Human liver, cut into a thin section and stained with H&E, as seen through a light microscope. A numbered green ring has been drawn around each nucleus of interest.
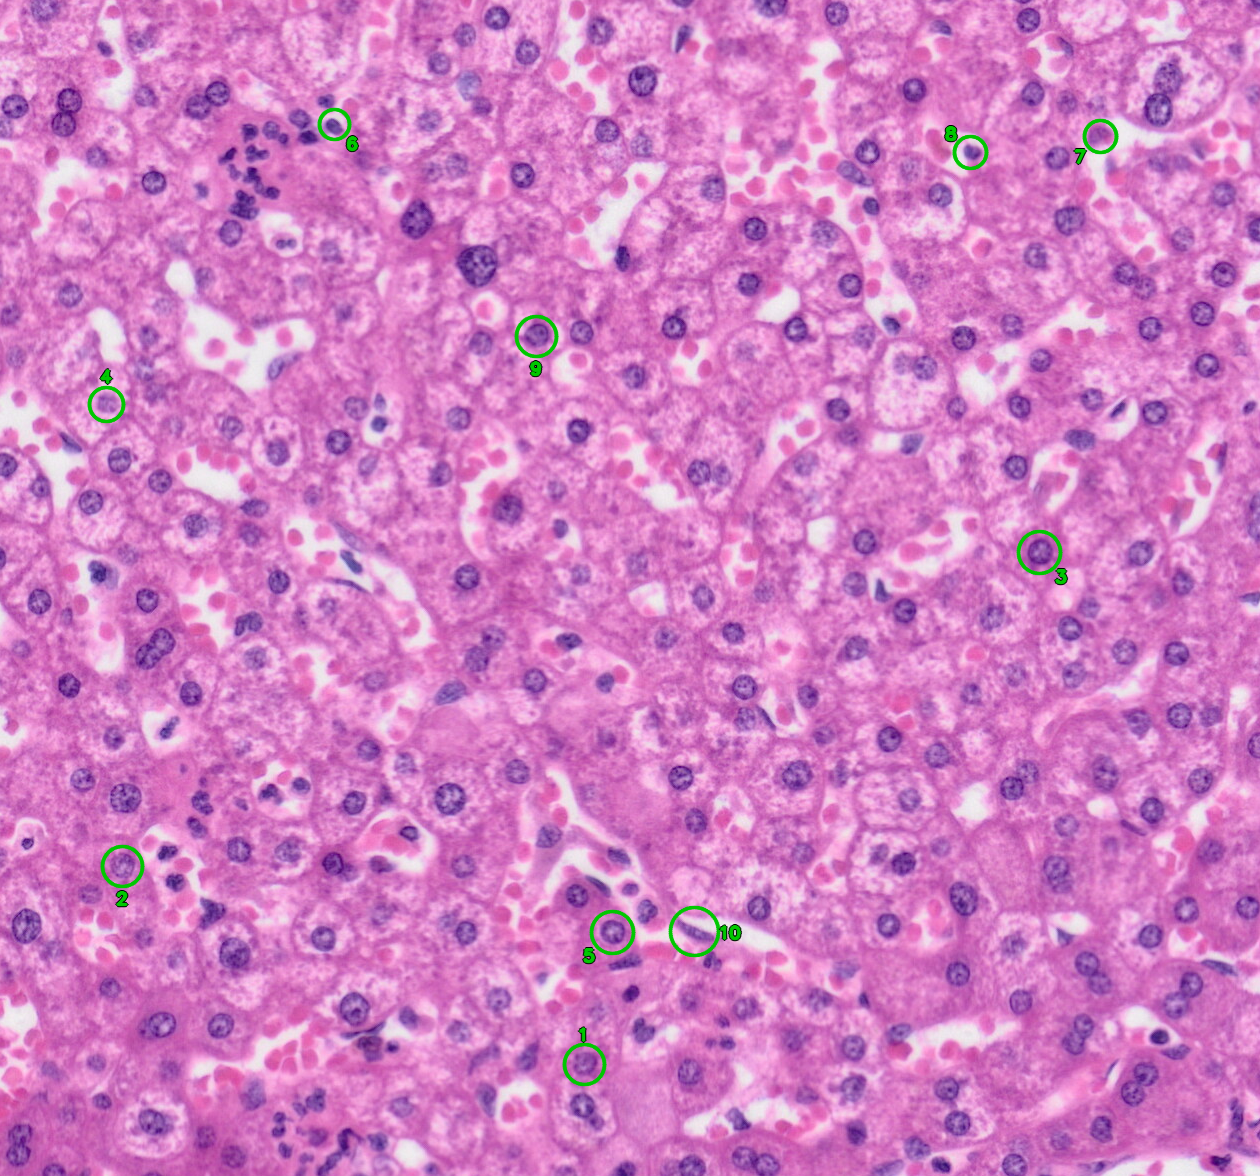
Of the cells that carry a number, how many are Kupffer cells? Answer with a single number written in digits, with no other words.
2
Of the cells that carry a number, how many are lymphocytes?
2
